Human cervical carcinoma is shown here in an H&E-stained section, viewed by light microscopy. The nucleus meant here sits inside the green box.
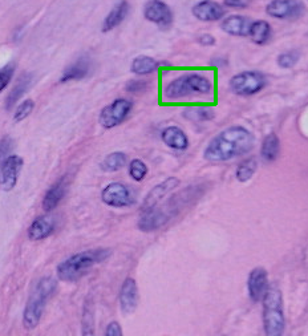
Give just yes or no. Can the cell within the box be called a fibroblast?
no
